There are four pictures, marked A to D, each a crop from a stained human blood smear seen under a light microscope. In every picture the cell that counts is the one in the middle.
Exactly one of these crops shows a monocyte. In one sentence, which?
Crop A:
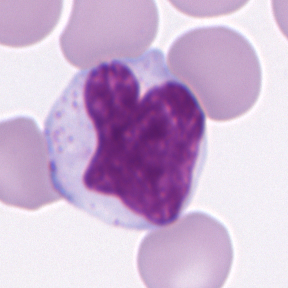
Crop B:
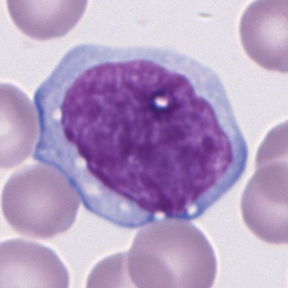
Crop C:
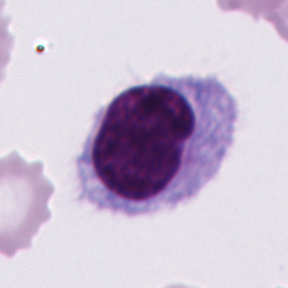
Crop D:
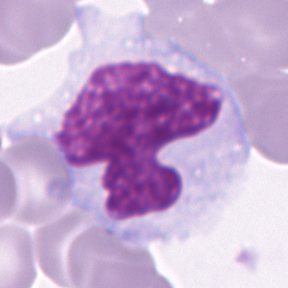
The crop marked D is the one in which a monocyte is shown.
